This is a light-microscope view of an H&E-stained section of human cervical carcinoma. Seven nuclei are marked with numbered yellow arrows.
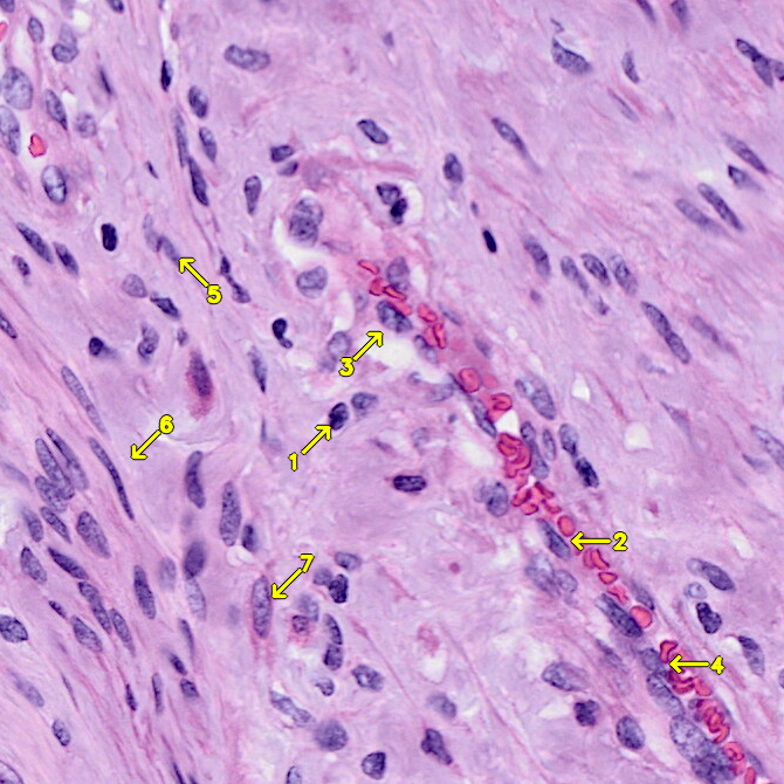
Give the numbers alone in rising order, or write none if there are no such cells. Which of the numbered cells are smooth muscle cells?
7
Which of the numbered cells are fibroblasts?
5, 6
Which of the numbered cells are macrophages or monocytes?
none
